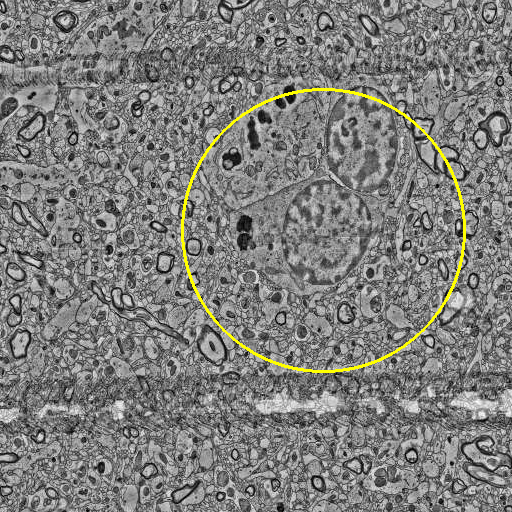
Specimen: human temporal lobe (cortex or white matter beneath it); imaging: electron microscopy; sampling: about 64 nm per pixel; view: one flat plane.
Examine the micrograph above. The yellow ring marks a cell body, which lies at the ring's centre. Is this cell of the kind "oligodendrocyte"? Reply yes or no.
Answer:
yes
